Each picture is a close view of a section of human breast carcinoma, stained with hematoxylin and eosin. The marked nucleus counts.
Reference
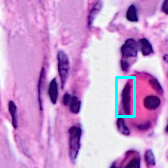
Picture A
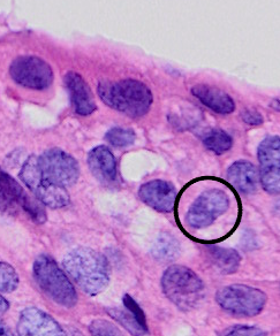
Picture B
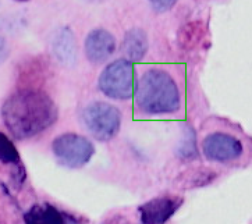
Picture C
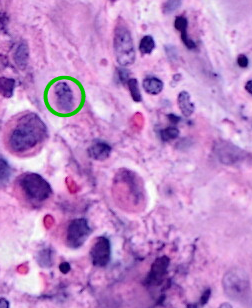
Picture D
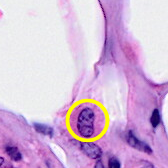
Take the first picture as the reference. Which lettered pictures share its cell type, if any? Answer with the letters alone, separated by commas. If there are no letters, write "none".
none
